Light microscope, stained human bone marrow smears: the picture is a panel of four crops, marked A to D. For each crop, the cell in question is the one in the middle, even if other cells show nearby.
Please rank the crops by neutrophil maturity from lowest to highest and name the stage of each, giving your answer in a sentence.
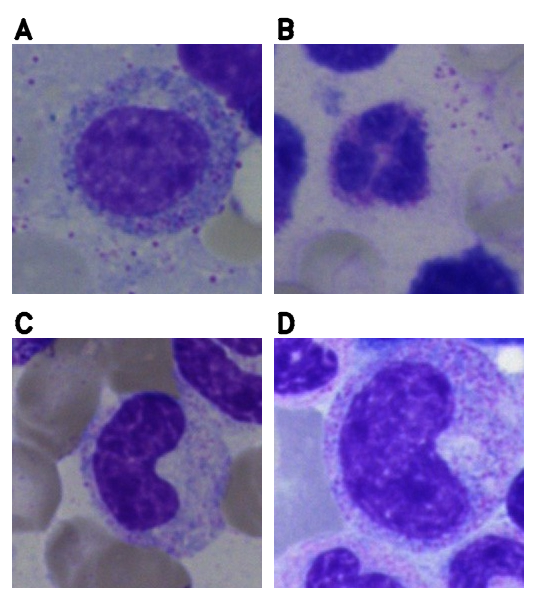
Placed in order of rising maturity, the crops stand as crop A (a myelocyte), crop D (a metamyelocyte), crop C (a band neutrophil) and crop B (a segmented neutrophil).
